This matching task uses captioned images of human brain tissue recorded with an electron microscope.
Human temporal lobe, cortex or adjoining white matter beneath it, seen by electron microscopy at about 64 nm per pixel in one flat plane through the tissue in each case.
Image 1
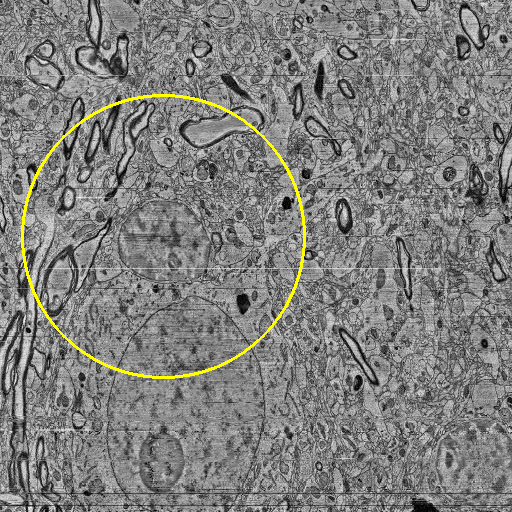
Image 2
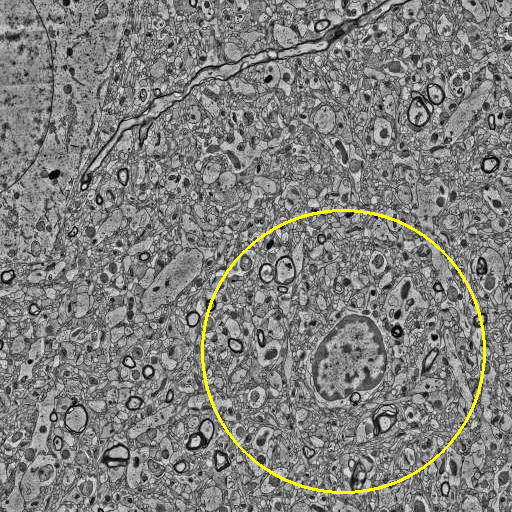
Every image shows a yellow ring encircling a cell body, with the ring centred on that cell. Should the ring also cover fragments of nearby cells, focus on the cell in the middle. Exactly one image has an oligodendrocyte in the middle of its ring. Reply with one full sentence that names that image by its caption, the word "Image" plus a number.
Image 1 shows the cell in question at the centre of its yellow ring.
